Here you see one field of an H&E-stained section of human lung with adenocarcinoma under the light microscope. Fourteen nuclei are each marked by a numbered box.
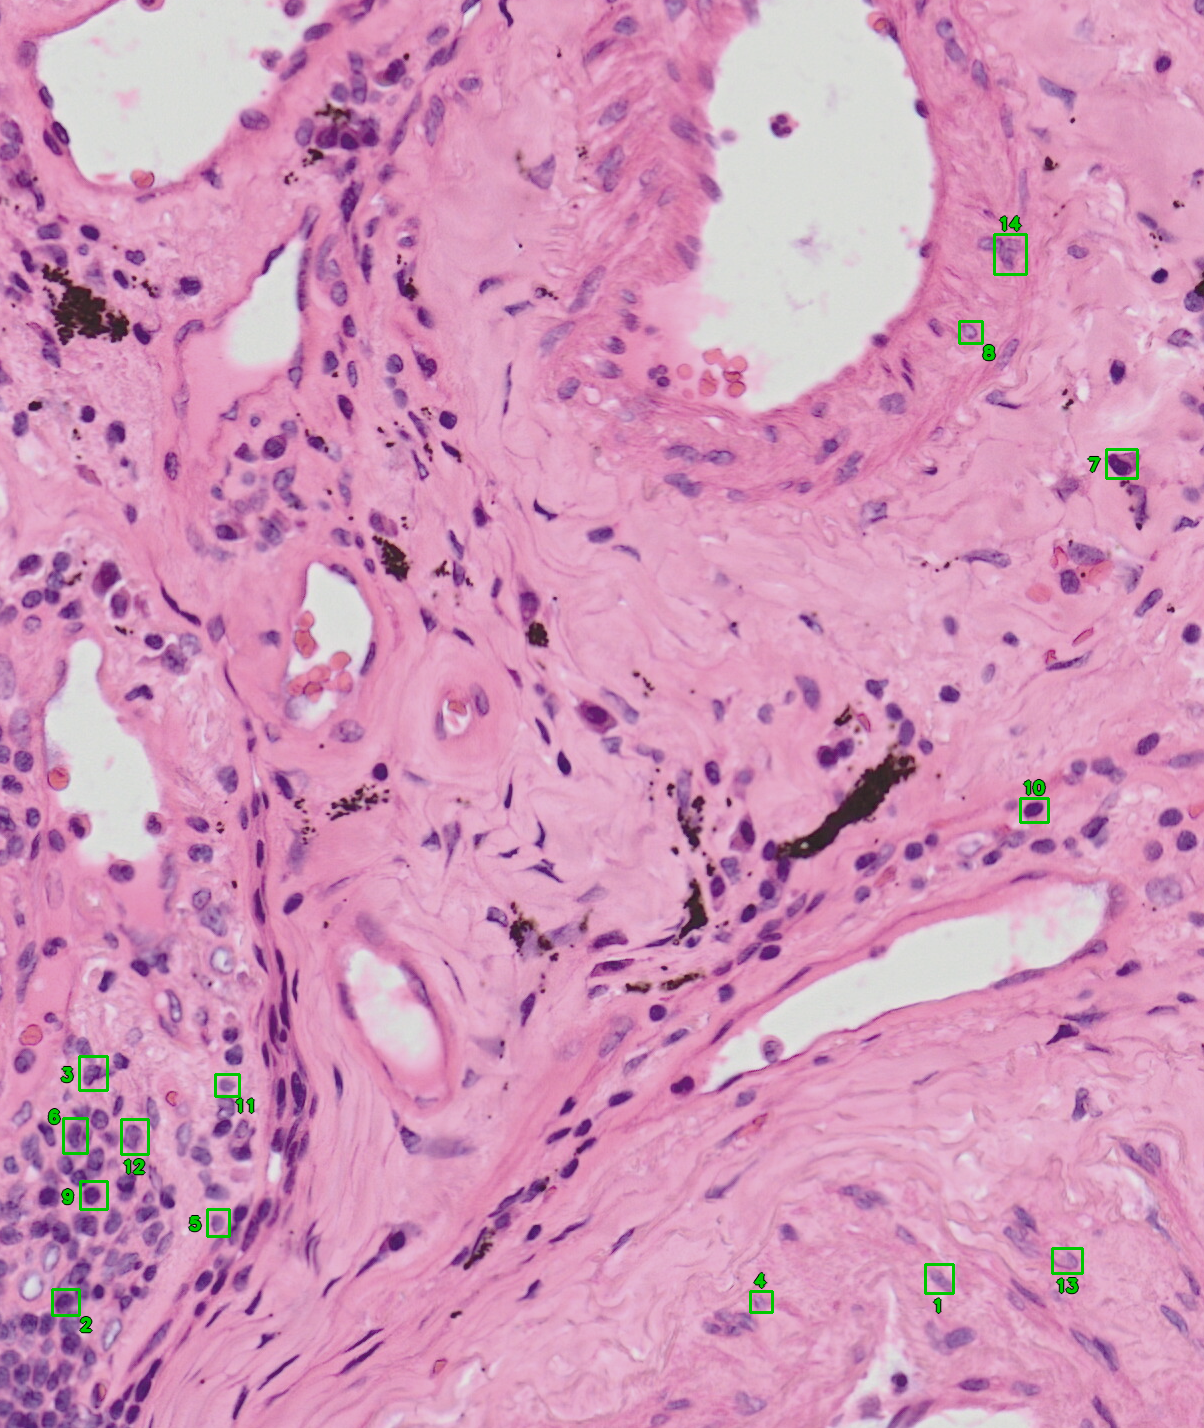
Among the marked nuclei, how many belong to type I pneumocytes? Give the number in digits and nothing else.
0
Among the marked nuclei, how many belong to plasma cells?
1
